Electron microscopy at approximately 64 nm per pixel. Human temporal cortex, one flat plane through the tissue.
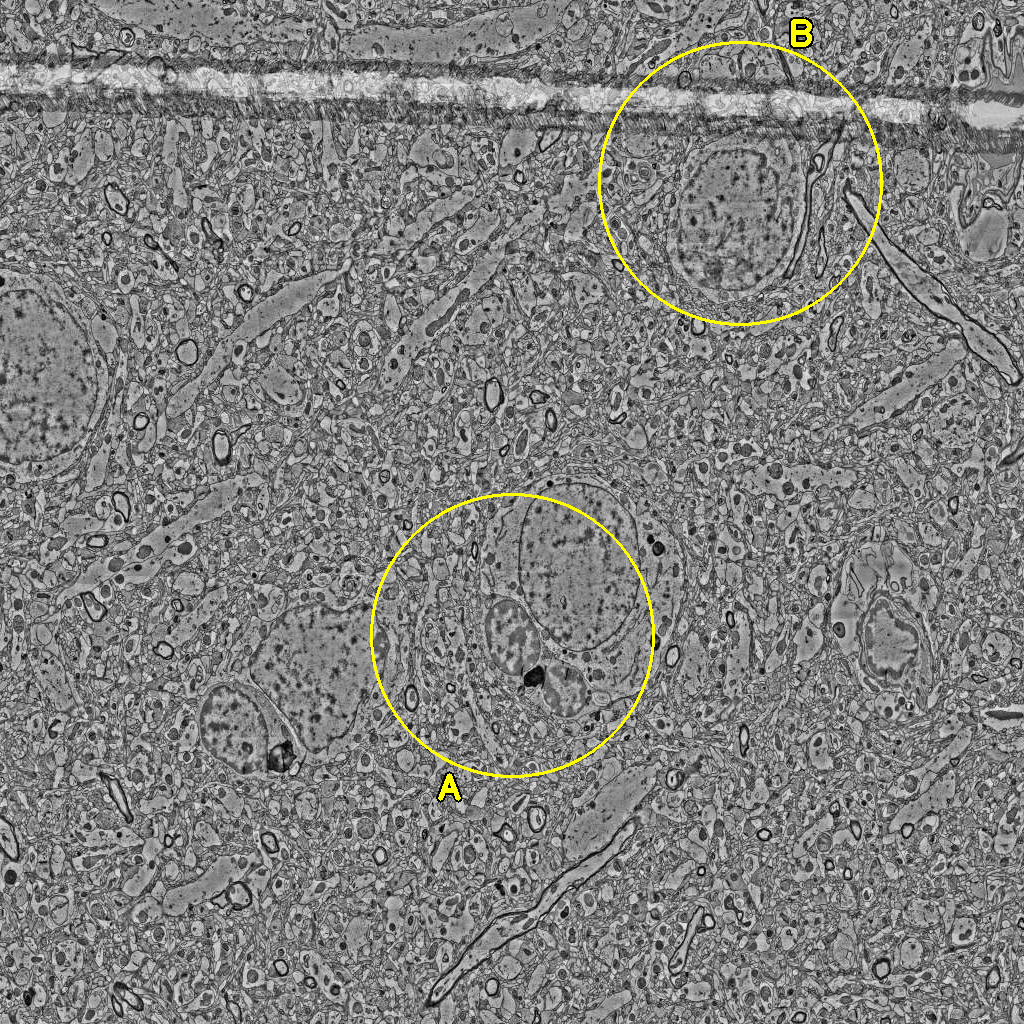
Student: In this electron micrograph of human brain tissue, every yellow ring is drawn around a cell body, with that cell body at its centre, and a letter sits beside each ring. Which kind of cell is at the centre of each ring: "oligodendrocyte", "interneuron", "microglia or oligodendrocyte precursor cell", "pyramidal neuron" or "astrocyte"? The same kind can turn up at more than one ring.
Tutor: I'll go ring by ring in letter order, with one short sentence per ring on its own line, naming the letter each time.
Ring A: the cell at its centre is an oligodendrocyte.
Ring B: the cell at its centre is an interneuron.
